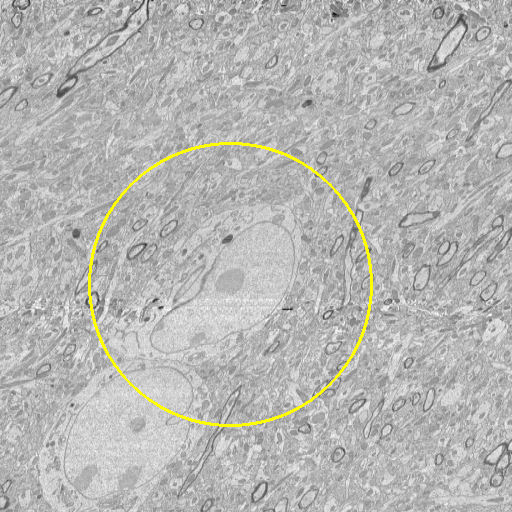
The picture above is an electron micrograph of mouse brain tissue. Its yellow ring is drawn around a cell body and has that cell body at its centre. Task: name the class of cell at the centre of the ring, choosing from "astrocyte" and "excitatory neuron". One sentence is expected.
The ring surrounds the body of an excitatory neuron.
